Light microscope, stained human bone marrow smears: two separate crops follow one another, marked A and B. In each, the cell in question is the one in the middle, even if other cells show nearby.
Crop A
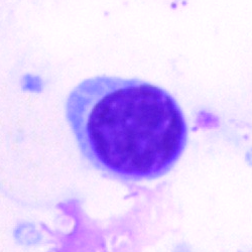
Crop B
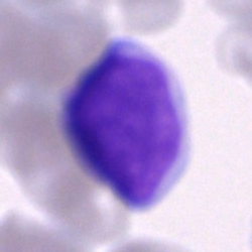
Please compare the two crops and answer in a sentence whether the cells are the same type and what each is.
No, crop A presents a lymphocyte; crop B presents a blast.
